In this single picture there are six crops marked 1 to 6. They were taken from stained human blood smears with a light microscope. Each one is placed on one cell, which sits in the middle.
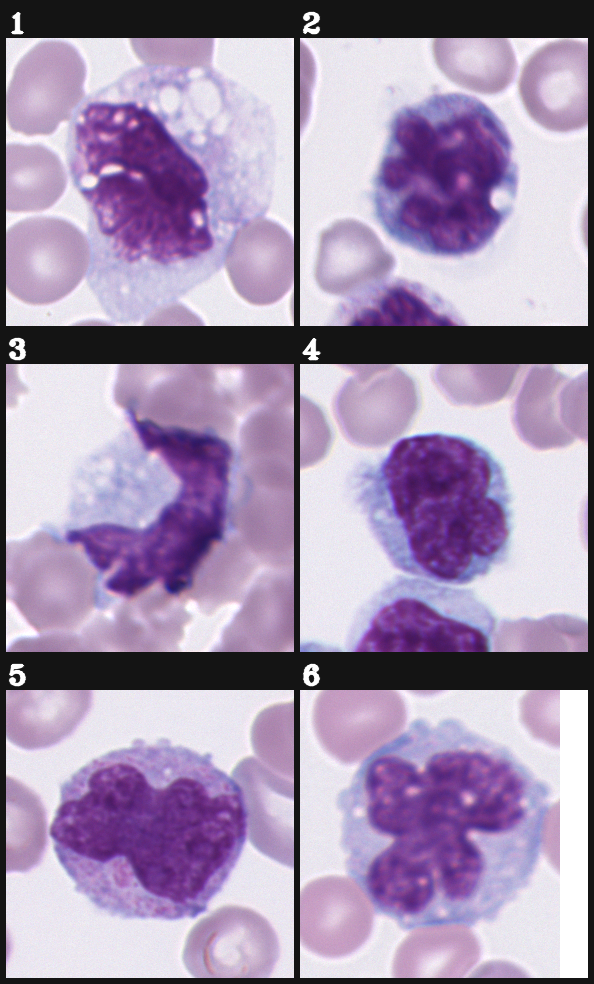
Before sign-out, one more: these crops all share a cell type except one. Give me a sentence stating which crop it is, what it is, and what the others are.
Crop 5 is an atypical promyelocyte, and the other crops all show monocytes.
